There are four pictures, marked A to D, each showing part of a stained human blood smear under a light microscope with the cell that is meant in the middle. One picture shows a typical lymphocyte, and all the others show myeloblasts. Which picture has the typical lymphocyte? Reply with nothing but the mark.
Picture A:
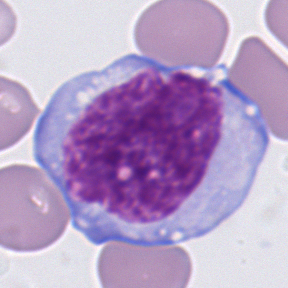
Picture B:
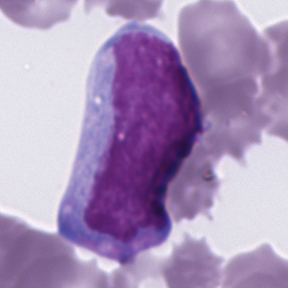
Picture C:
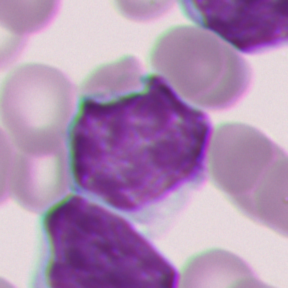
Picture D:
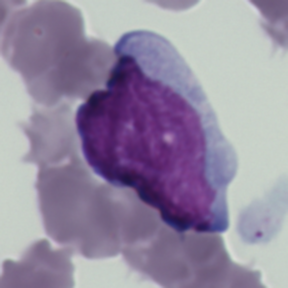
C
